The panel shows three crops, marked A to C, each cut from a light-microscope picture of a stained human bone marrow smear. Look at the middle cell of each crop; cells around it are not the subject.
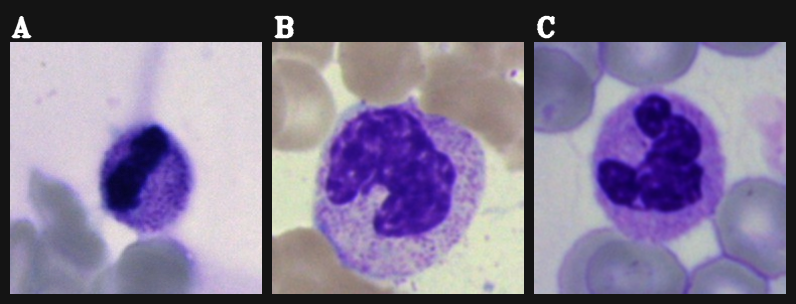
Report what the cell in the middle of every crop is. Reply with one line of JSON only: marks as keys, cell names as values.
{"A": "band neutrophil", "B": "band neutrophil", "C": "segmented neutrophil"}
